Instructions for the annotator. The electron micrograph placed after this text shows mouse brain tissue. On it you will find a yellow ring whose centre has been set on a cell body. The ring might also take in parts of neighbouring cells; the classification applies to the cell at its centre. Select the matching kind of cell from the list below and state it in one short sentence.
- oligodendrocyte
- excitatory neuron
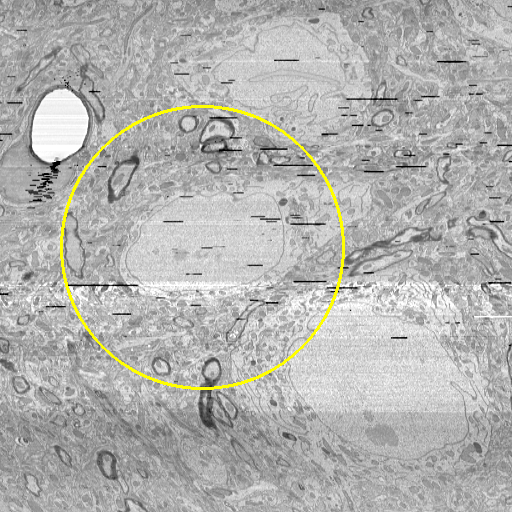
The ring is drawn on the cell body of an excitatory neuron.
